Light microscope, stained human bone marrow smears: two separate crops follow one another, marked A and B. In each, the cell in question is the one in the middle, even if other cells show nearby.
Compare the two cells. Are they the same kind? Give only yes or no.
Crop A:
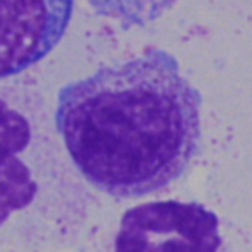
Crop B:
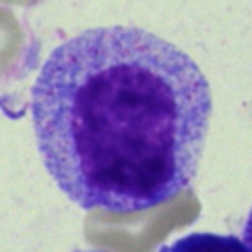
yes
